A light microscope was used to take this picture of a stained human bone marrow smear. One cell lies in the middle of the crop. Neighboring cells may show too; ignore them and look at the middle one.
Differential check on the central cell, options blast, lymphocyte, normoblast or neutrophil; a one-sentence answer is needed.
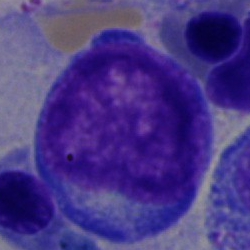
In the central position of this crop, the cell is a blast.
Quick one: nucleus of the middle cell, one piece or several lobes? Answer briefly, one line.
The nucleus holds together as a single compact mass, round, oval or kidney-like.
